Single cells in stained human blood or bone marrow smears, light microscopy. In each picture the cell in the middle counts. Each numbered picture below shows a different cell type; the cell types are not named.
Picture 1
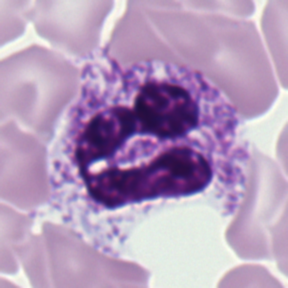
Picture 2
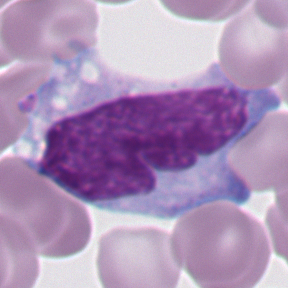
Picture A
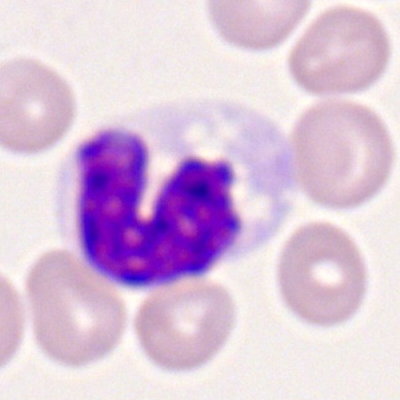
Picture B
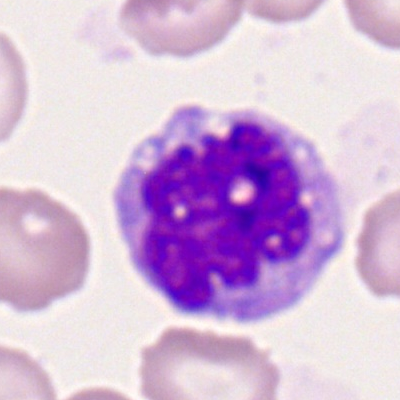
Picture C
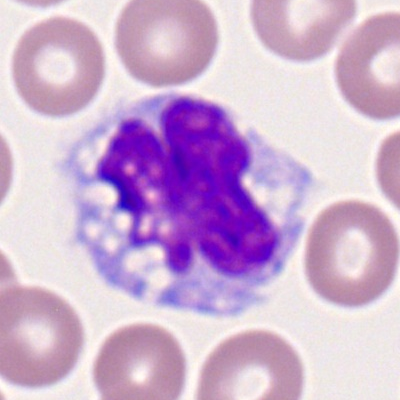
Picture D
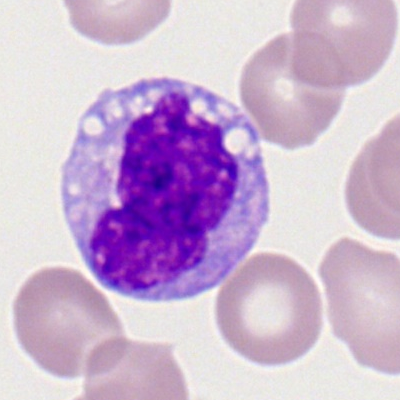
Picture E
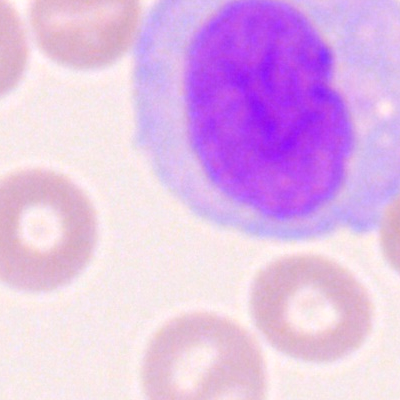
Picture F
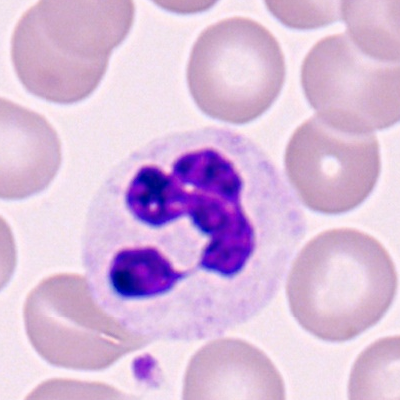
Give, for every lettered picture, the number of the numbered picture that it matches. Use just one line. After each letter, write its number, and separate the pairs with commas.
A 2, B 2, C 2, D 2, E 2, F 1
